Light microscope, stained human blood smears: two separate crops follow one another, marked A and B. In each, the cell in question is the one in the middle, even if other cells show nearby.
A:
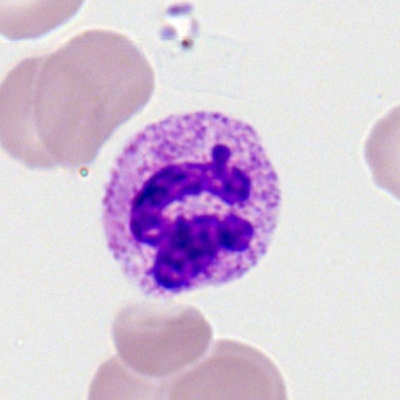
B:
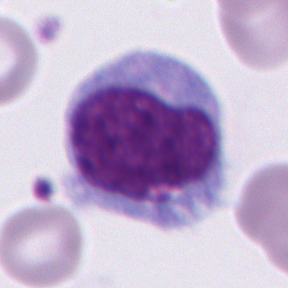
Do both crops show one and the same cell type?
no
